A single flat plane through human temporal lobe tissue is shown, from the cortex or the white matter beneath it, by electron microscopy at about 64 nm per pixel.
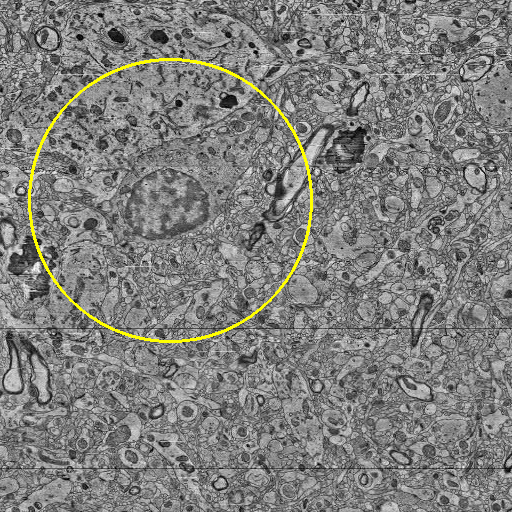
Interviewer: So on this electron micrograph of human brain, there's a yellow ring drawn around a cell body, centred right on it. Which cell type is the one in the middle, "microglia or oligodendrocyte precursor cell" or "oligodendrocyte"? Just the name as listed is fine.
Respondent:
oligodendrocyte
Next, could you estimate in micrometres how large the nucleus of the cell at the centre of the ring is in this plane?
The ringed cell's nucleus is about 5 micrometres long and 4 micrometres wide in this plane.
